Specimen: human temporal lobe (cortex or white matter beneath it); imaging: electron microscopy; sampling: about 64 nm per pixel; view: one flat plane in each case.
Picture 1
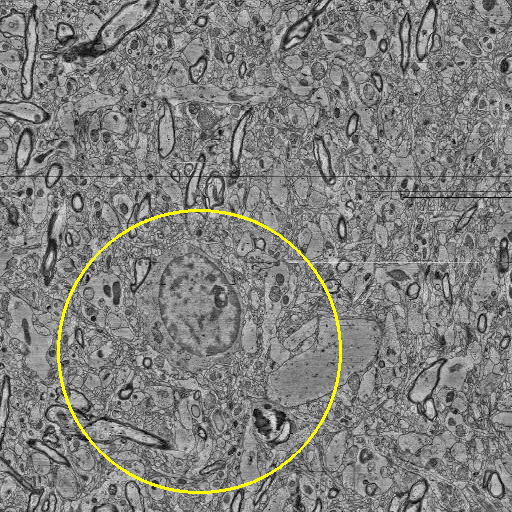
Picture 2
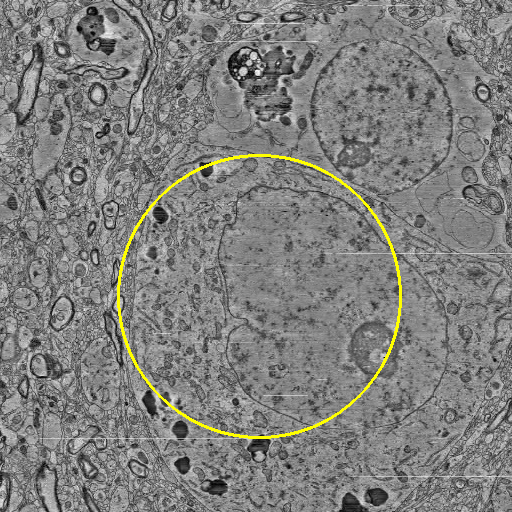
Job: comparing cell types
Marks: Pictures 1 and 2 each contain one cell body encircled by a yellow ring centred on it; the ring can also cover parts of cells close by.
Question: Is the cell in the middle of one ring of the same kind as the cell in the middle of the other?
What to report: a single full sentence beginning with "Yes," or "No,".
No, the cell at the ring centre in Picture 1 and its partner in Picture 2 are of two kinds.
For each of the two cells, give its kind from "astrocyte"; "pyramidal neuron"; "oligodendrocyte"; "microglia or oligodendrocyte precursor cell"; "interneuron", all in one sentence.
The first picture has an oligodendrocyte in its ring, the second has a pyramidal neuron.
